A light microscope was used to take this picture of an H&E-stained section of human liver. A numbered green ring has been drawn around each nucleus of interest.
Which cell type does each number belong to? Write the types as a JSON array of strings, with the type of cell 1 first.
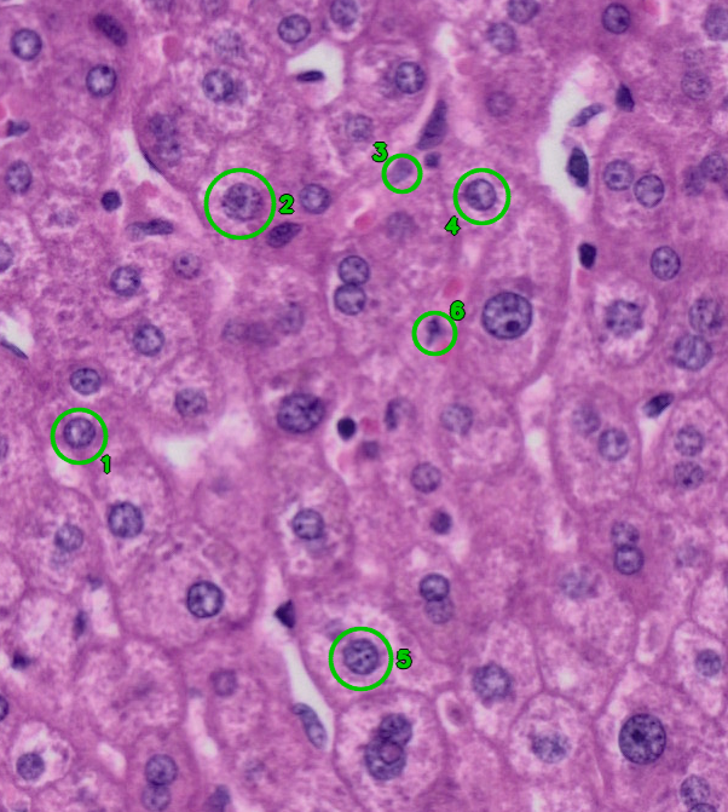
["hepatocyte", "hepatocyte", "Kupffer cell", "hepatocyte", "hepatocyte", "endothelial cell"]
